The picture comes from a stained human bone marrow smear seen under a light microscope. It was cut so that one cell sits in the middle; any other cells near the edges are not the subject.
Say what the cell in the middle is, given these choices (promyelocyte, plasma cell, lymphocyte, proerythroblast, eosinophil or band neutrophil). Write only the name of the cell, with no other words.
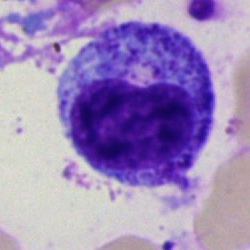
promyelocyte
